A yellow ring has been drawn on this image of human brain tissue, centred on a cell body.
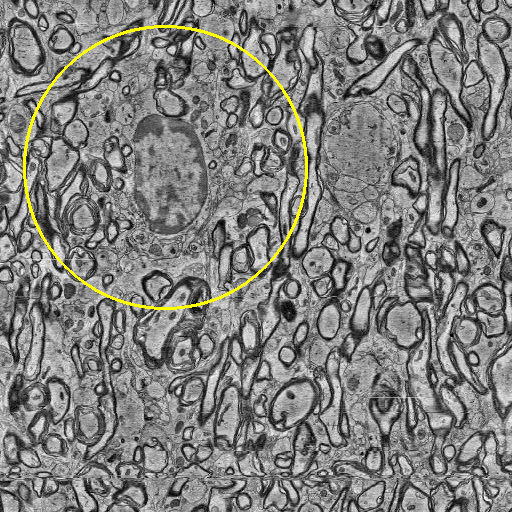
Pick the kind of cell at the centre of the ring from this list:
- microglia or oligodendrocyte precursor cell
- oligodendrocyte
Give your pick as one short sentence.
The centre of the ring holds a microglial cell or oligodendrocyte precursor cell.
